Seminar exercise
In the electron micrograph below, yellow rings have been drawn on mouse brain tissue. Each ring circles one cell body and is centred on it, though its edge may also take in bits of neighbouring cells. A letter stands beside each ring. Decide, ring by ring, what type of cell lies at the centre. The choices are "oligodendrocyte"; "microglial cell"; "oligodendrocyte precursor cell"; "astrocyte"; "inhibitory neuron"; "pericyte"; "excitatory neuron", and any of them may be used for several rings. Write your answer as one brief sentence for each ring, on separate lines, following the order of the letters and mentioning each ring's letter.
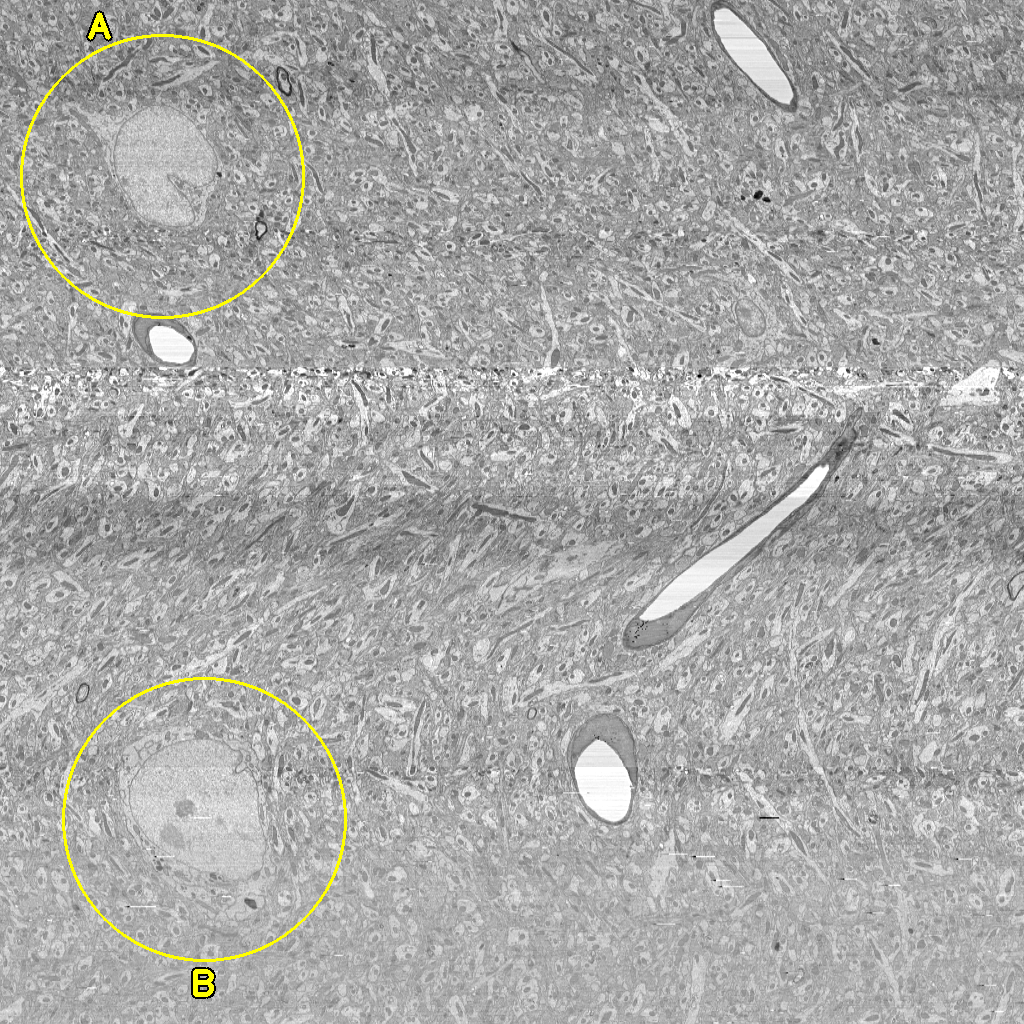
The cell in the middle of ring A is an astrocyte.
The cell in the middle of ring B is an inhibitory neuron.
